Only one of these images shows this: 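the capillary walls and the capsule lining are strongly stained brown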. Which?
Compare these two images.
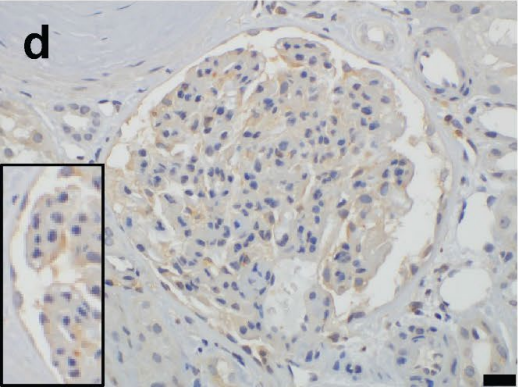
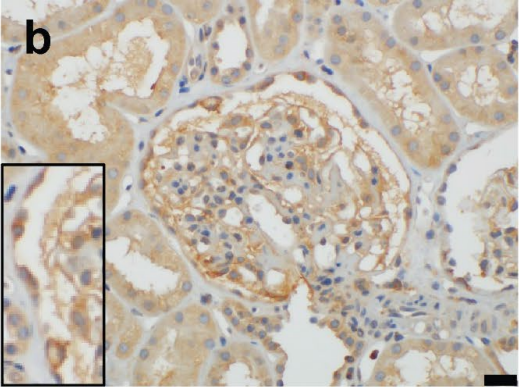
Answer: the second image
